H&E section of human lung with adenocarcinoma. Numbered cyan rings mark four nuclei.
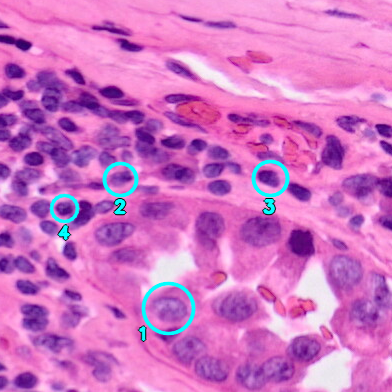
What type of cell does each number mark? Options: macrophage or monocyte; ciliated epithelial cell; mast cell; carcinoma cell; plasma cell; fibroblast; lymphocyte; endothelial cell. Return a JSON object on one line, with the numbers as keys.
{"1": "carcinoma cell", "2": "lymphocyte", "3": "lymphocyte", "4": "lymphocyte"}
